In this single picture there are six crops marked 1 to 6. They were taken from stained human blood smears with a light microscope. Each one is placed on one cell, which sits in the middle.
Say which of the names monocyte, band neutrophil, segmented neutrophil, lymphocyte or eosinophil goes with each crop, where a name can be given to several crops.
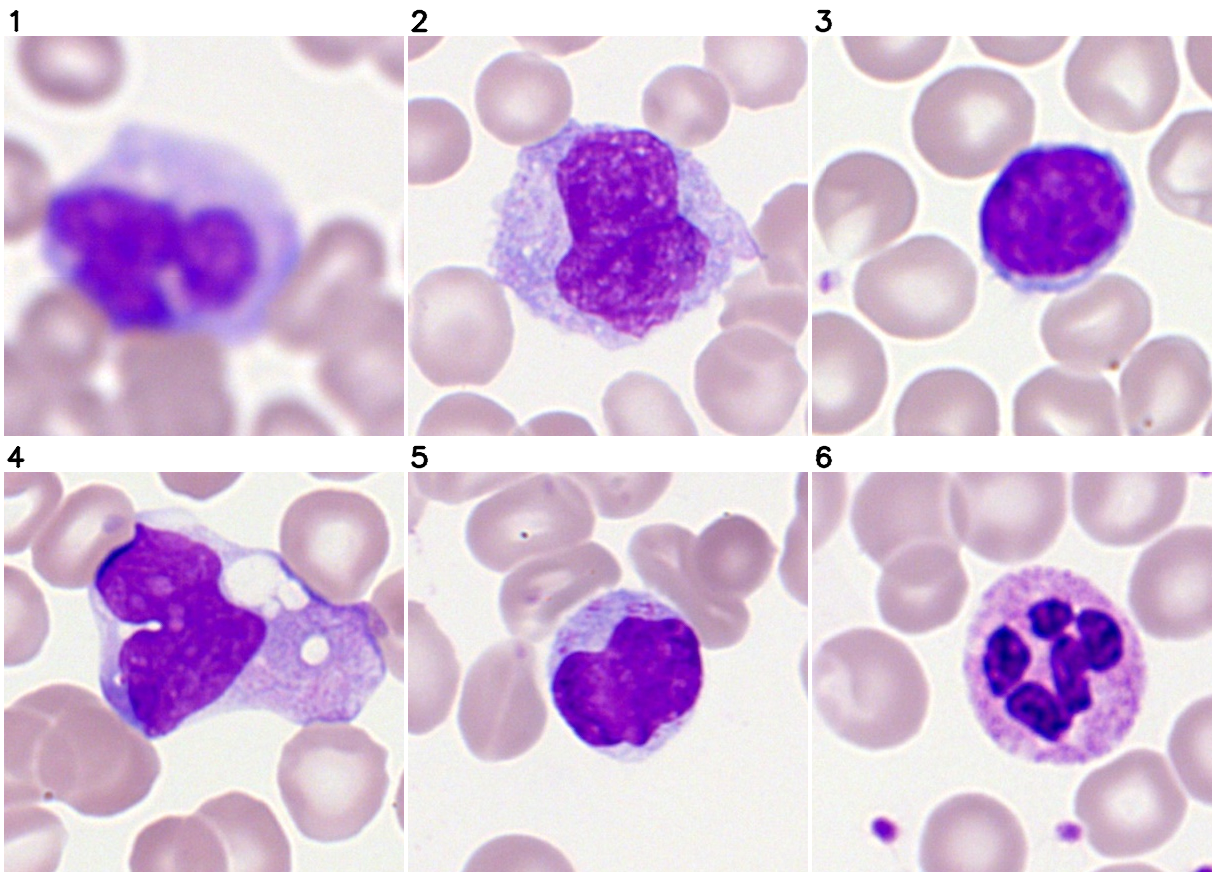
1: monocyte
2: monocyte
3: lymphocyte
4: monocyte
5: lymphocyte
6: segmented neutrophil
